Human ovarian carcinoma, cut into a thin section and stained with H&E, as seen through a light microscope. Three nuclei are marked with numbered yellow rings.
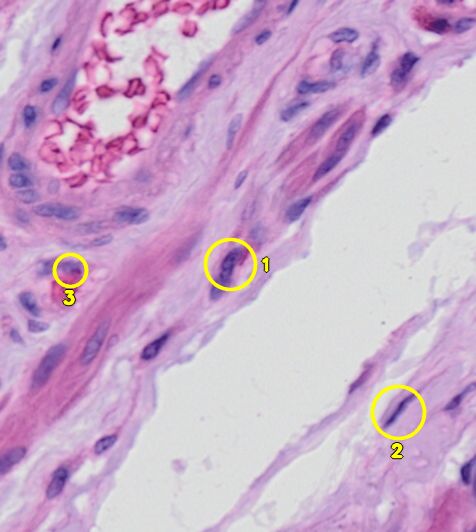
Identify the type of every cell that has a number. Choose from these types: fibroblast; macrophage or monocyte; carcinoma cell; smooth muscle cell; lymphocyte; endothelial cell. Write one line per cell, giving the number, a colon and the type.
1: endothelial cell
2: fibroblast
3: endothelial cell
